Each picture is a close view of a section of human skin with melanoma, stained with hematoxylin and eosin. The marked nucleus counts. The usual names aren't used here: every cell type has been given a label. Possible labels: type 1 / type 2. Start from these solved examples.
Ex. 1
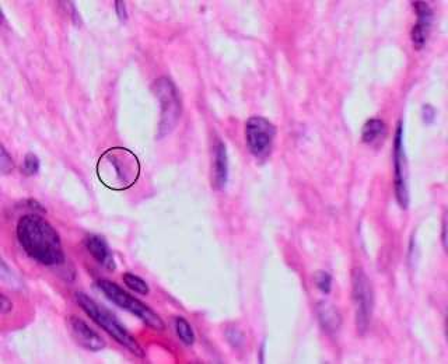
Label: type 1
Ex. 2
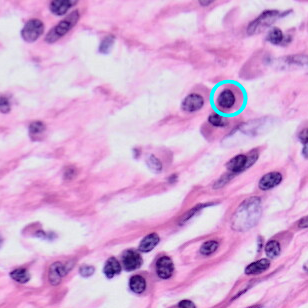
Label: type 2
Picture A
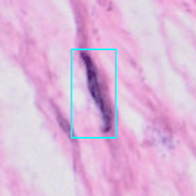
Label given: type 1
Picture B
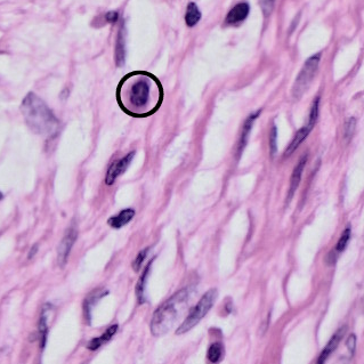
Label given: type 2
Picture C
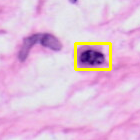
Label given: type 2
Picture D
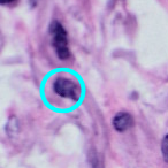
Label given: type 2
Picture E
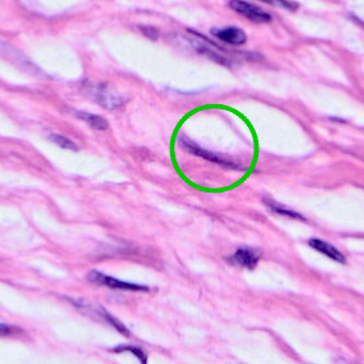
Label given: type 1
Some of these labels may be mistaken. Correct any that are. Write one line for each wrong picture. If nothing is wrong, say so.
No label is wrong.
